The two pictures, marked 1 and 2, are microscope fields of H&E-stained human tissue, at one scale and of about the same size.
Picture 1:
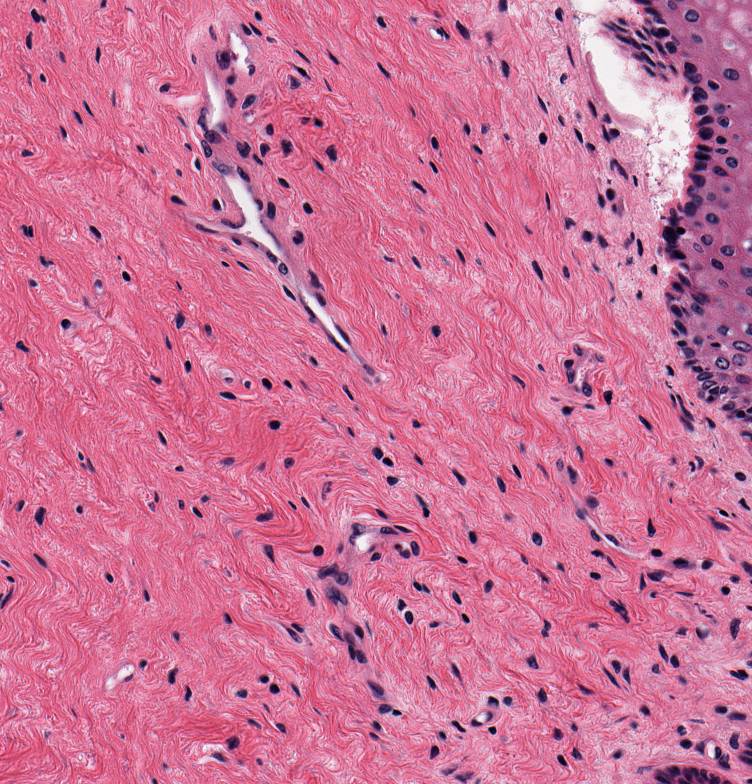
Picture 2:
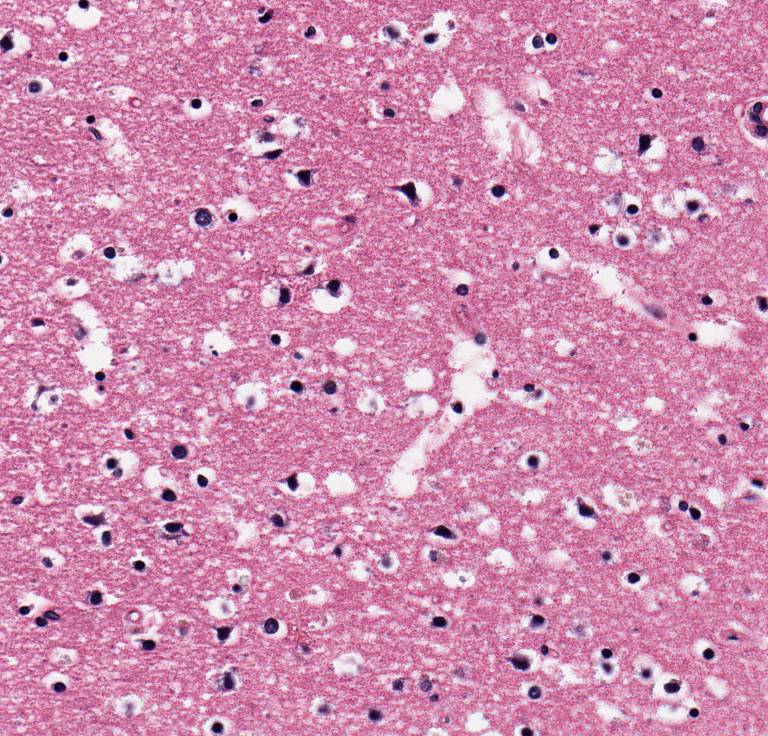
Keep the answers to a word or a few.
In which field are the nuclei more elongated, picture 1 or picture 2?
1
